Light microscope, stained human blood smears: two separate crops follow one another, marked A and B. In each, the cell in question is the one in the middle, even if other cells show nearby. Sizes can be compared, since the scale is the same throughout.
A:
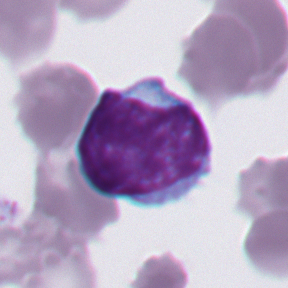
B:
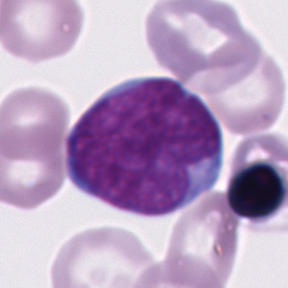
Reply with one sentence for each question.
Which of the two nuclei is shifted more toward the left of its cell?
Seen within its cell, the nucleus in crop B lies further toward the left.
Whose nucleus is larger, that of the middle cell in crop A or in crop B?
Crop B shows the larger nucleus; it covers about 1.5 times the area of the nucleus in crop A.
